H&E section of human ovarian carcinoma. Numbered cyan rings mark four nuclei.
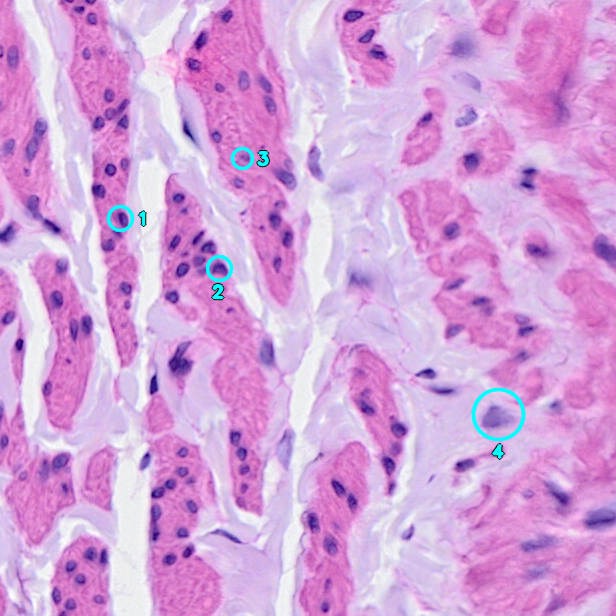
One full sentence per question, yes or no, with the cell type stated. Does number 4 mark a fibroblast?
Yes, the cell numbered 4 in this tissue is a fibroblast.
